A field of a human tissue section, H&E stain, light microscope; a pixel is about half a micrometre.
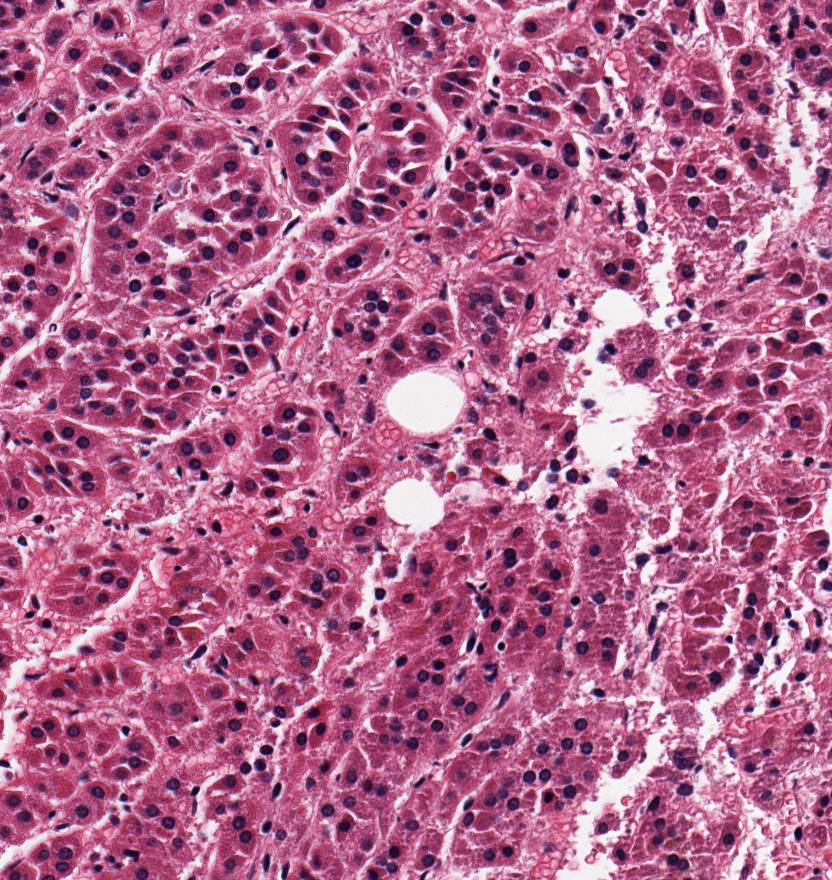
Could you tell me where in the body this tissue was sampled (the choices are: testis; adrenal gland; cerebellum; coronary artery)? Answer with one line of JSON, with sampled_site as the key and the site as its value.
{"sampled_site": "adrenal gland"}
